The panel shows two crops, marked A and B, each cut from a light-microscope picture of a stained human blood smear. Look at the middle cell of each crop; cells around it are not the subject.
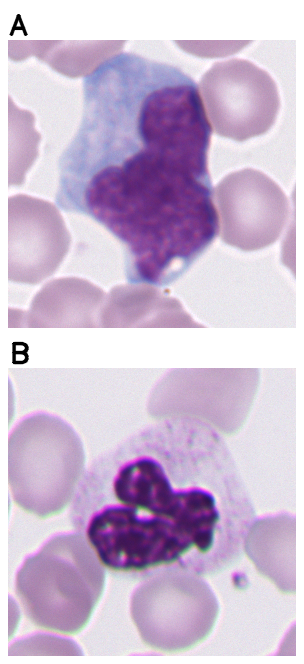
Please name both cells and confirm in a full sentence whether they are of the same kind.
No, the cells are a monocyte in crop A and a segmented neutrophil in crop B.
